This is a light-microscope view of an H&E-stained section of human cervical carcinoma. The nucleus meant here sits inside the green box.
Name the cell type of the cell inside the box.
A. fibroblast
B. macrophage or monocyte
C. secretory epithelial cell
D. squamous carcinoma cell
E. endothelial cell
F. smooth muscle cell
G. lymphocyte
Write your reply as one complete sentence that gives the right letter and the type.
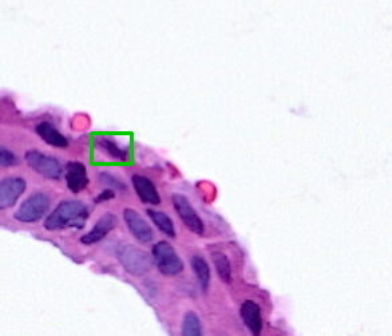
Option C is the right choice, for the cell inside the box is a secretory epithelial cell.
